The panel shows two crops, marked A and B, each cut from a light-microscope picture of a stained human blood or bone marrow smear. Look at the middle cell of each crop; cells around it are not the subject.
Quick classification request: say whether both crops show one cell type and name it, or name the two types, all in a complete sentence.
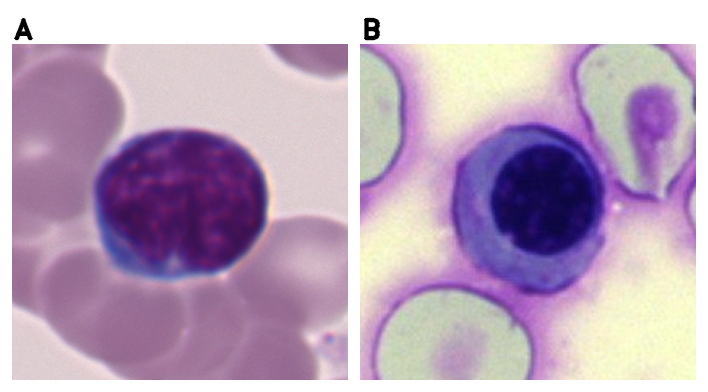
No, within crop A lies a lymphocyte, and within crop B lies a normoblast.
